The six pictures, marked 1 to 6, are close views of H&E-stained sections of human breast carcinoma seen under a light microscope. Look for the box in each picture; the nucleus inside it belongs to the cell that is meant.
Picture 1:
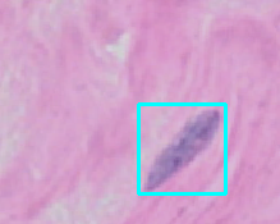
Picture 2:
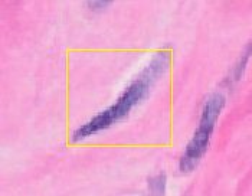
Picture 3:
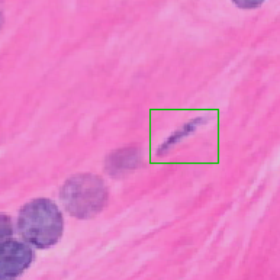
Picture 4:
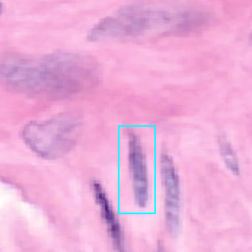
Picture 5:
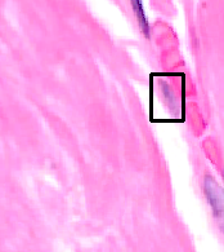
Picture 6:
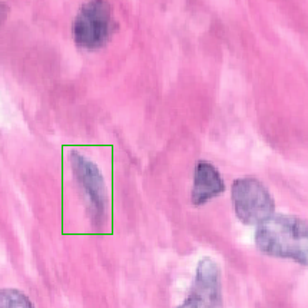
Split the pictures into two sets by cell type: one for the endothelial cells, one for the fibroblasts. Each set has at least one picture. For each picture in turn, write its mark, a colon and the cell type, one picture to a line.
1: fibroblast
2: fibroblast
3: fibroblast
4: endothelial cell
5: endothelial cell
6: fibroblast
